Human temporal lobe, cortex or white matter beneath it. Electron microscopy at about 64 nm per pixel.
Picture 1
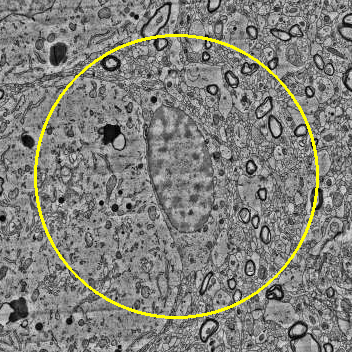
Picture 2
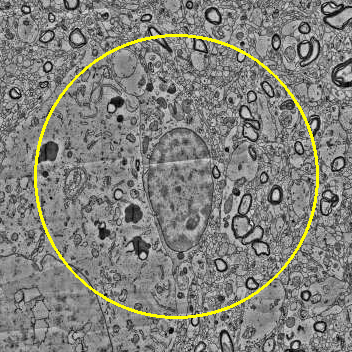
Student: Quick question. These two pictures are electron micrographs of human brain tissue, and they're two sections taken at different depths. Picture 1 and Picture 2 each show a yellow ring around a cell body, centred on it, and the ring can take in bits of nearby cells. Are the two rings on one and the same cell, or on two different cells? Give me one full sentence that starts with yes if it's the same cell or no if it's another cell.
No, these are two different cells, each marked with a ring.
